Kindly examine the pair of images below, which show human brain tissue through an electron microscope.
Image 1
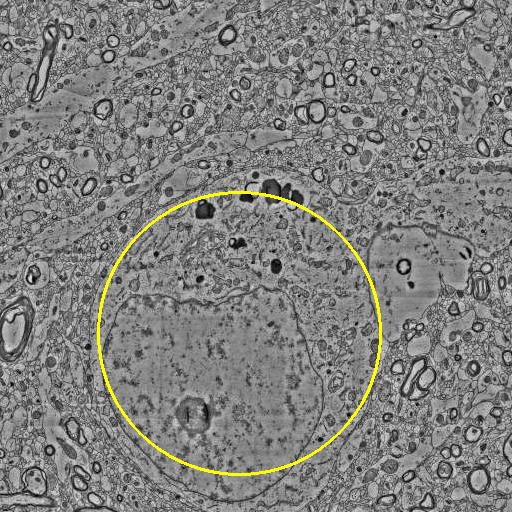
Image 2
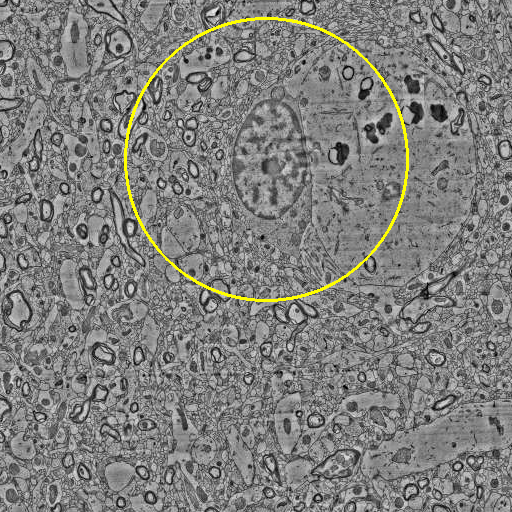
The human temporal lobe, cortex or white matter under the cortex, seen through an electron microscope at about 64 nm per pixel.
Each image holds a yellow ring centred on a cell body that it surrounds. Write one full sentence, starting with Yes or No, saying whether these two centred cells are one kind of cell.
No, the cells at the centres of the yellow rings belong to two kinds of cell.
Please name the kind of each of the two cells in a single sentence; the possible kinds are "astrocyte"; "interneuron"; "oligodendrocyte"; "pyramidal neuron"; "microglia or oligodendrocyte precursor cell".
In the first picture the ring is centred on a pyramidal neuron, and in the second on an oligodendrocyte.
